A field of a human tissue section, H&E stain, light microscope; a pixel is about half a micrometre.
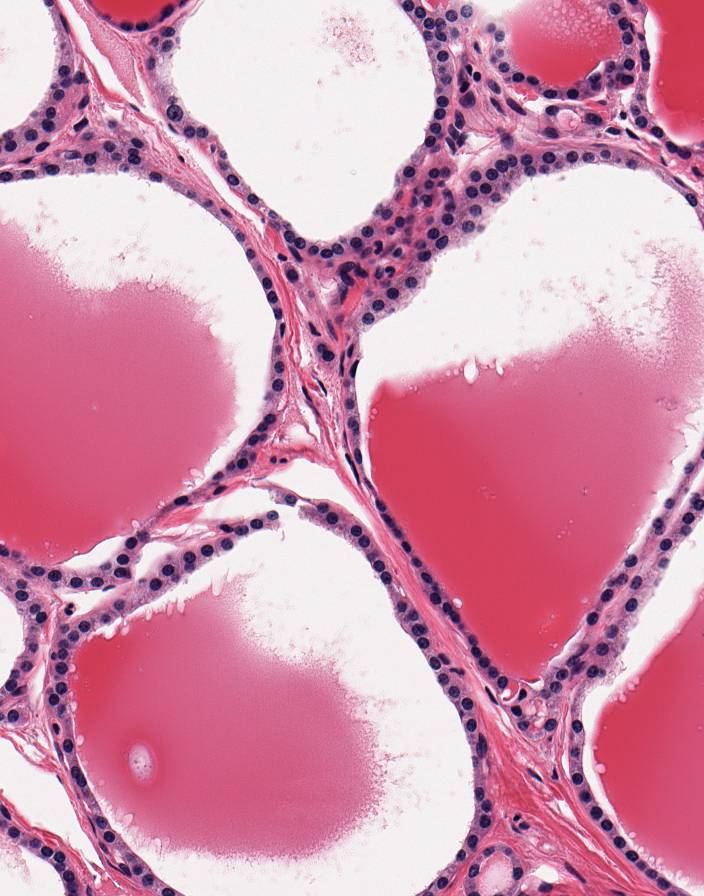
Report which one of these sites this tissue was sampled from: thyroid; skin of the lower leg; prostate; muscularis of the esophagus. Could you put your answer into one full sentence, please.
This section consists of tissue sampled from the thyroid.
